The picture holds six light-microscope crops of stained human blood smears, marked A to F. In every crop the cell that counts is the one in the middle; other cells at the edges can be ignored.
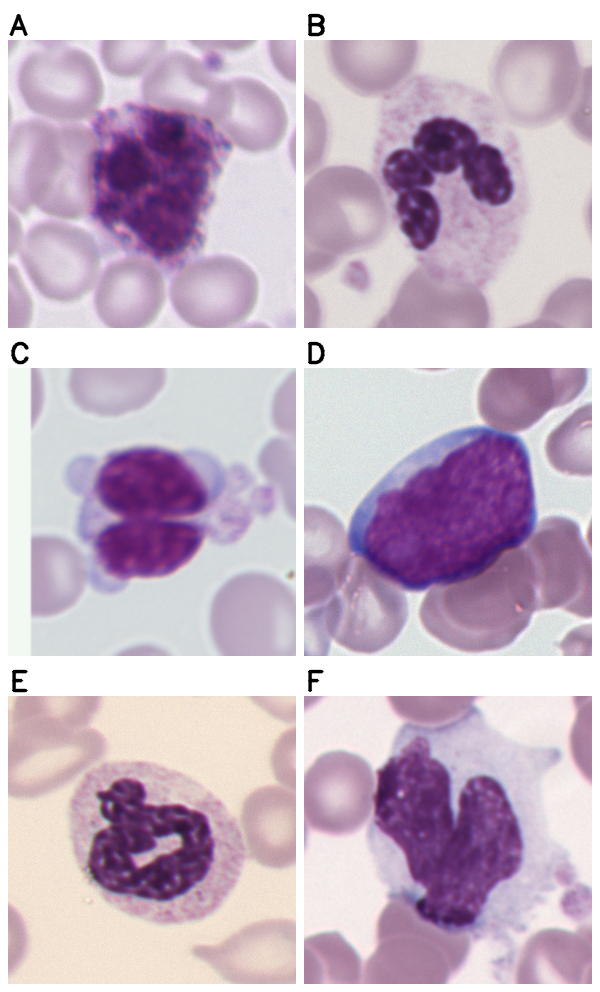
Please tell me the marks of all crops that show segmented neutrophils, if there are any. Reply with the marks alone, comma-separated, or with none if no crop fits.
B, E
